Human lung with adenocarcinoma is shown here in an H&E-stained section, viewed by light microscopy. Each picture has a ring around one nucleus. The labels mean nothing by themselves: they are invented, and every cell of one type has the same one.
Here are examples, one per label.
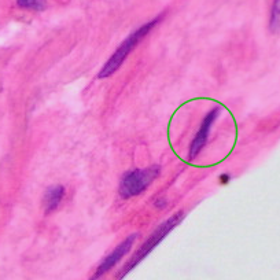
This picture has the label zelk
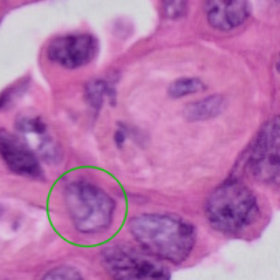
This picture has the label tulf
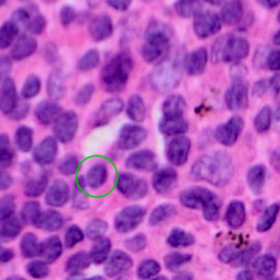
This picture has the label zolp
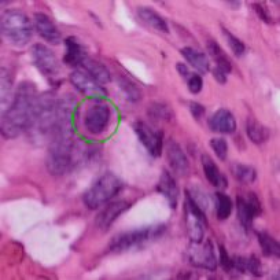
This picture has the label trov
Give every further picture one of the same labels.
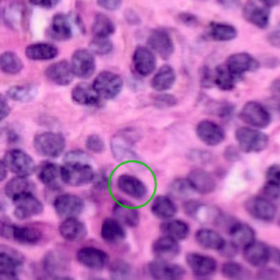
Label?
zolp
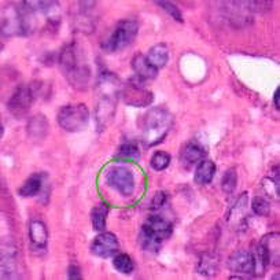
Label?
zolp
